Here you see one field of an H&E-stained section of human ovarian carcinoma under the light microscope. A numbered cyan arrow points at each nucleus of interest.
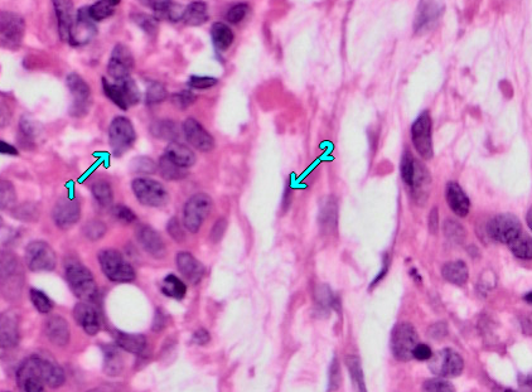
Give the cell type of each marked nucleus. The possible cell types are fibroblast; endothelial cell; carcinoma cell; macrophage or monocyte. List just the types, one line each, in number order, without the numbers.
macrophage or monocyte
fibroblast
